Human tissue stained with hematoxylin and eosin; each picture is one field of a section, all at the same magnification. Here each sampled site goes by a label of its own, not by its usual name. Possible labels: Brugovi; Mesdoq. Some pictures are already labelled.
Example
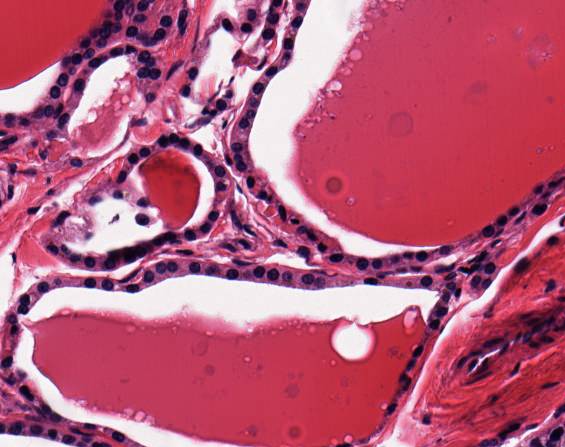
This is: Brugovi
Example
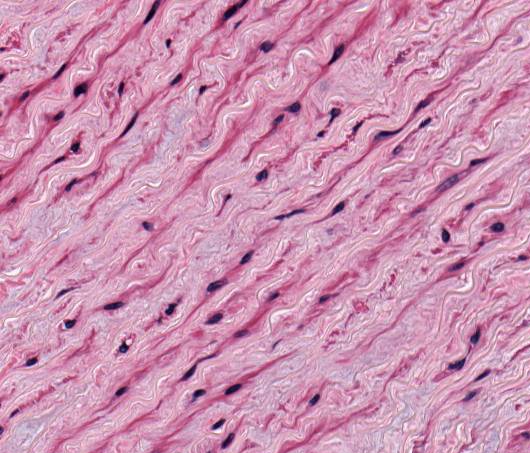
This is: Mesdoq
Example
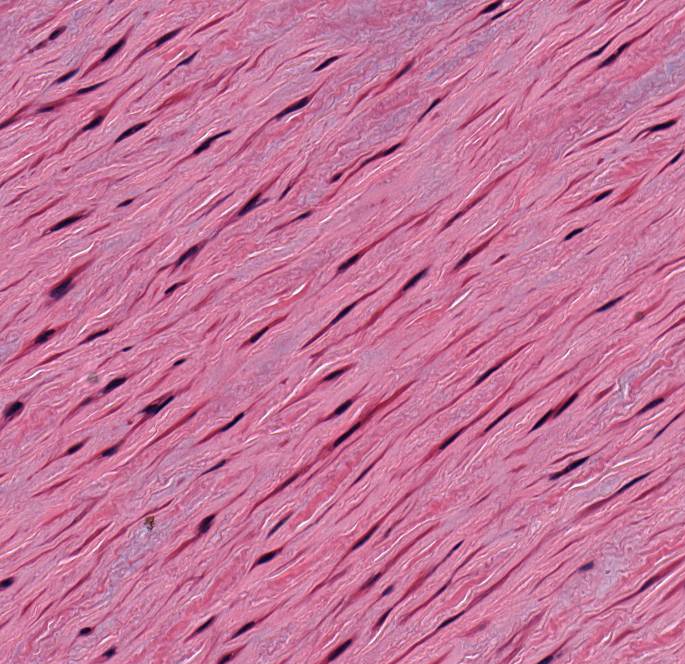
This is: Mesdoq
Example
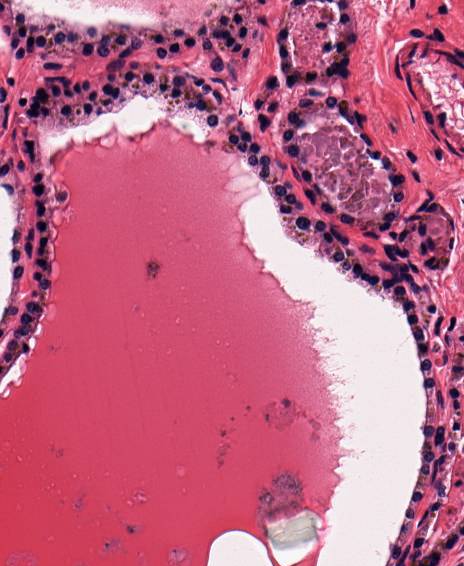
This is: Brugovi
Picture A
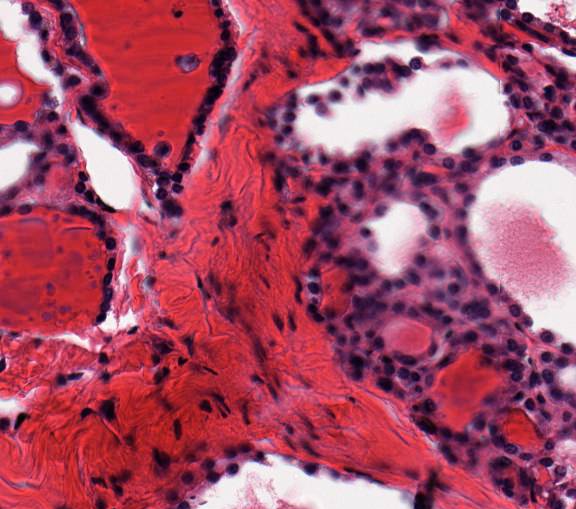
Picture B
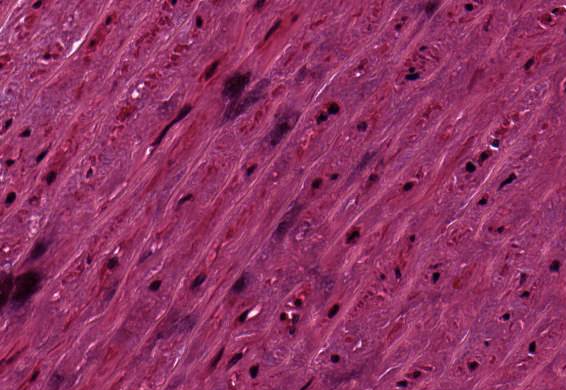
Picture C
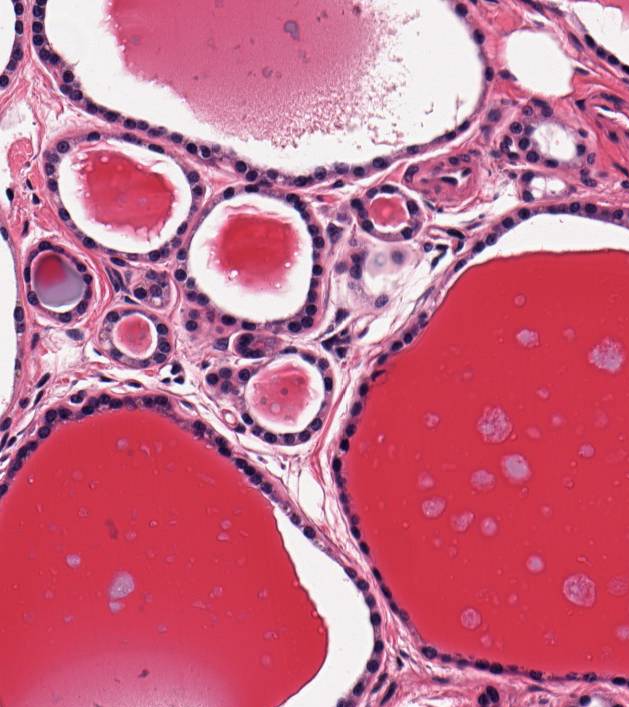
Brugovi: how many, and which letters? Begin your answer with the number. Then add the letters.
2, namely A, C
